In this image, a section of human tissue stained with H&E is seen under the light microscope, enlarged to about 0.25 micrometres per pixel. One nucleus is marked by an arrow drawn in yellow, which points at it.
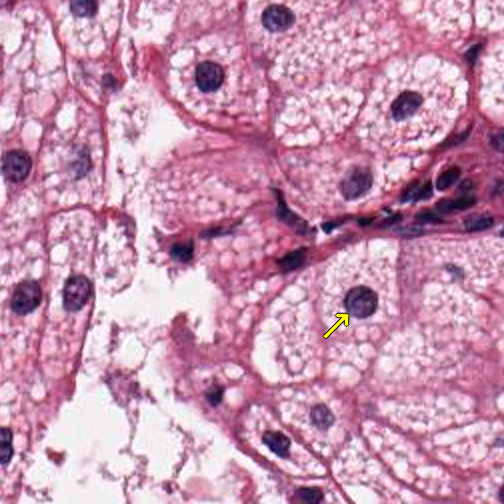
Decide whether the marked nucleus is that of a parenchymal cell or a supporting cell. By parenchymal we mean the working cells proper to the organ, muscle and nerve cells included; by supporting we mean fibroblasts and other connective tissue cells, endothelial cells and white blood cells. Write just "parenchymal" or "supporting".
parenchymal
